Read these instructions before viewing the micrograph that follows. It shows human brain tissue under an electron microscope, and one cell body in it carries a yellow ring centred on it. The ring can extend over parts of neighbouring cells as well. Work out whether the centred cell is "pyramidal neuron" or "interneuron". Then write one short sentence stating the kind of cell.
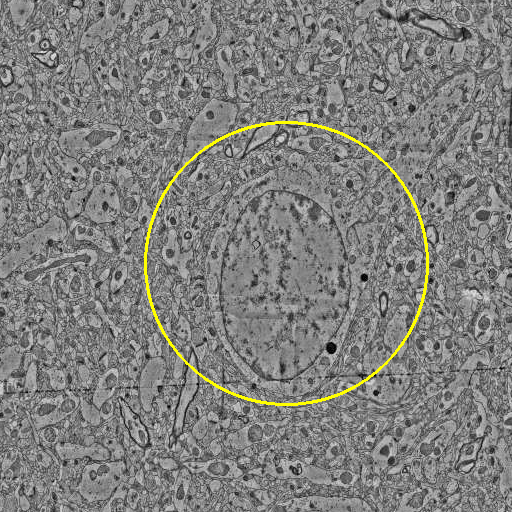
The ringed cell is a pyramidal neuron.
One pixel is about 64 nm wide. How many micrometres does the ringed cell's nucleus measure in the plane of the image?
Roughly 12 by 8 micrometres in this plane, for the nucleus of the ringed cell.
